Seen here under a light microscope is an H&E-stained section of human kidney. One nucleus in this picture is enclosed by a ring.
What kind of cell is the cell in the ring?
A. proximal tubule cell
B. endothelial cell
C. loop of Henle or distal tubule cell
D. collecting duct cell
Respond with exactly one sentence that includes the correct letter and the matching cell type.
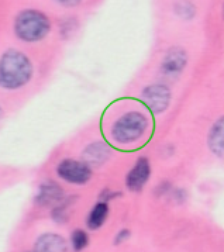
Option D is the correct one: the cell in the ring is a collecting duct cell.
